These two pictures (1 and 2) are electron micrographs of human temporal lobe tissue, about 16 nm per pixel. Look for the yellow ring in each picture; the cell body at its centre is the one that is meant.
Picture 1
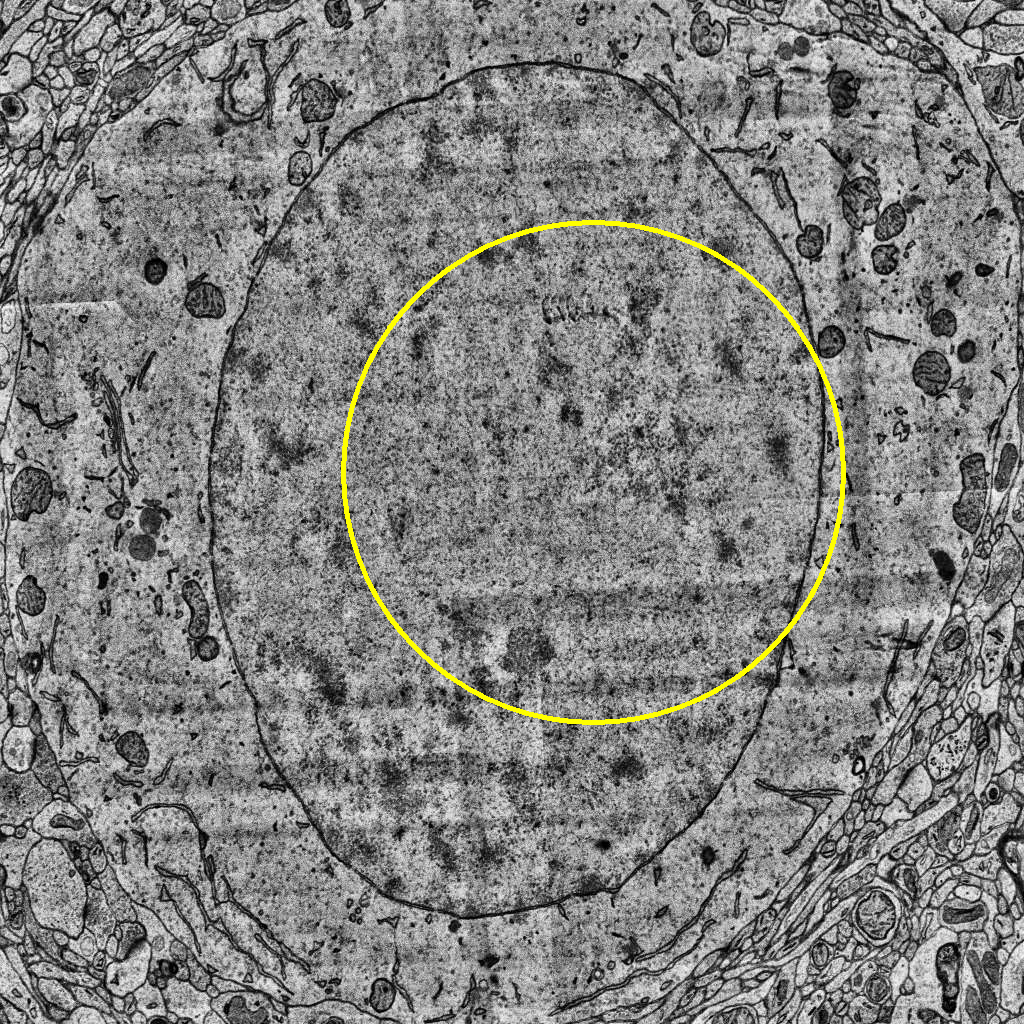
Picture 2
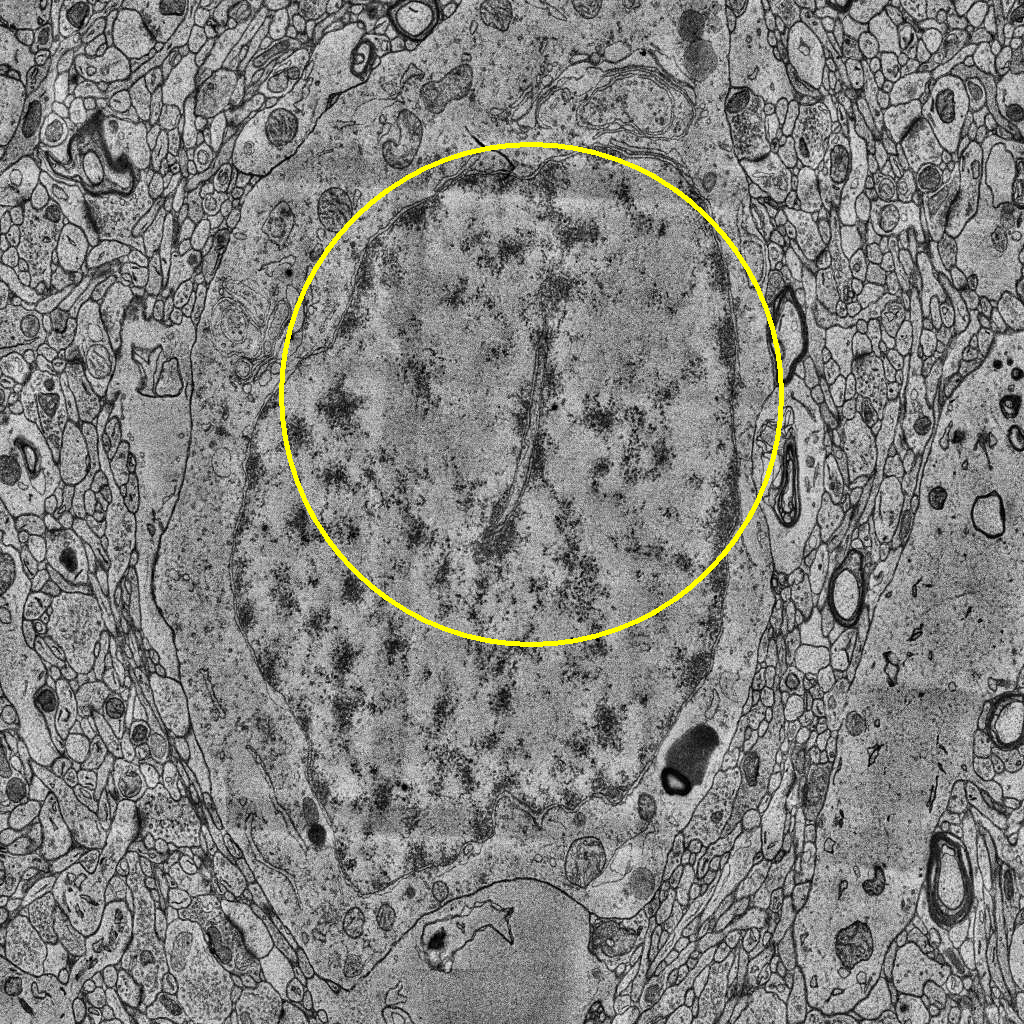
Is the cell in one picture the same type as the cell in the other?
No, the types are not the same, since picture 1 shows a pyramidal neuron and picture 2 an interneuron.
